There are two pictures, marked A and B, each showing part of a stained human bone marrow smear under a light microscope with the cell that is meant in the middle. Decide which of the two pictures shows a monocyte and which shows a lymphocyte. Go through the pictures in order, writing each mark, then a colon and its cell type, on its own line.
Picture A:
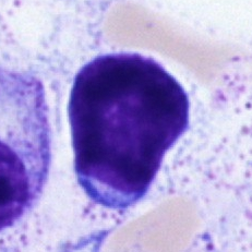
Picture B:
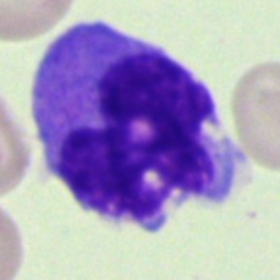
A: lymphocyte
B: monocyte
